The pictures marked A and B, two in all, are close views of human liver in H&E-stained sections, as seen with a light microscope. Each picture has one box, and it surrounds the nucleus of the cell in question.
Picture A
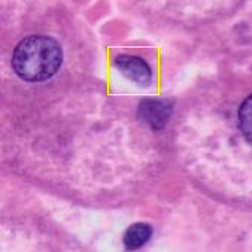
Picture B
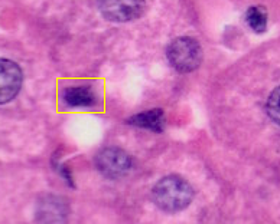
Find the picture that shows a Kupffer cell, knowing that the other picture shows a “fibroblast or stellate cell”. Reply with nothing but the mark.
A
